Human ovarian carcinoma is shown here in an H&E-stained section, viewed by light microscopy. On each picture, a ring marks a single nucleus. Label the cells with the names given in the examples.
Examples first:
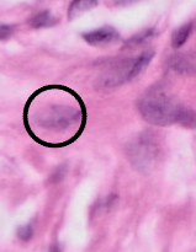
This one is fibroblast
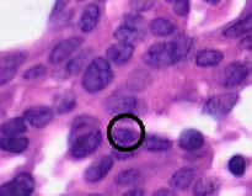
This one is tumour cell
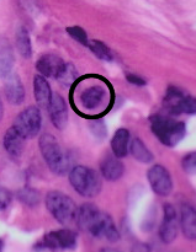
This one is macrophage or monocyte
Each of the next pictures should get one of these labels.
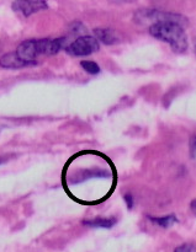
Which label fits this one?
fibroblast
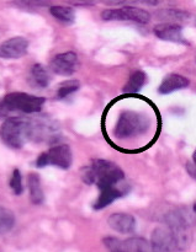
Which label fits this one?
tumour cell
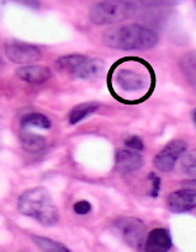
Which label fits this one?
macrophage or monocyte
